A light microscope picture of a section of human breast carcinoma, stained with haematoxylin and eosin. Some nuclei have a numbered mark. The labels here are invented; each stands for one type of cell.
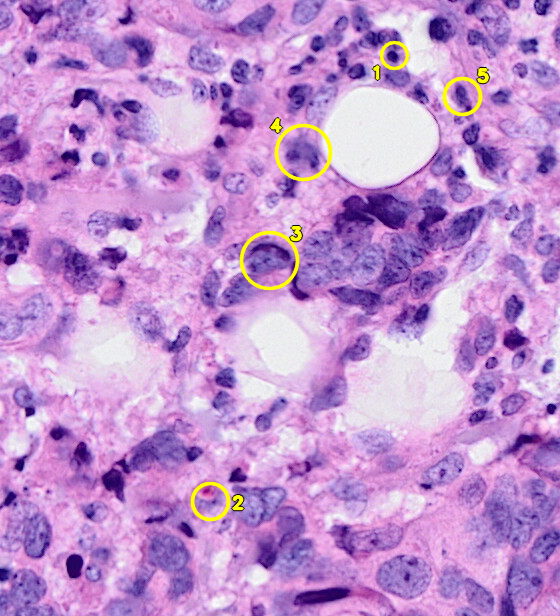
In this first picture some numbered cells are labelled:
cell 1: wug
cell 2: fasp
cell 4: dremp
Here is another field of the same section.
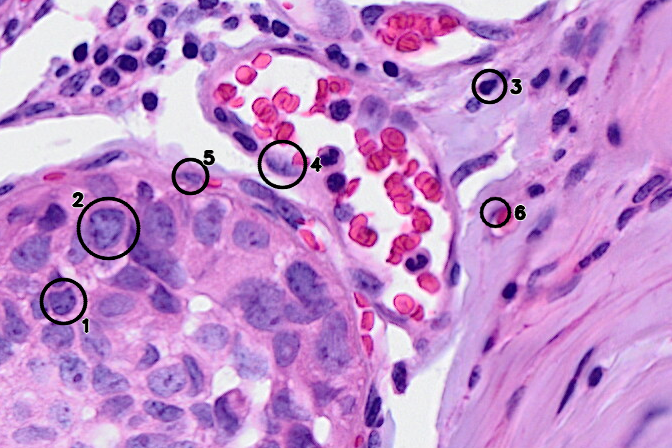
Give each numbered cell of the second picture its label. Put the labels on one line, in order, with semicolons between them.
dremp; dremp; wug; fasp; fasp; fasp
